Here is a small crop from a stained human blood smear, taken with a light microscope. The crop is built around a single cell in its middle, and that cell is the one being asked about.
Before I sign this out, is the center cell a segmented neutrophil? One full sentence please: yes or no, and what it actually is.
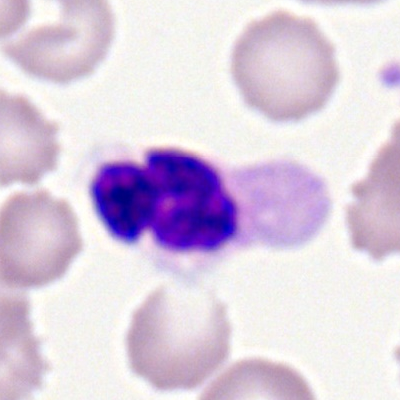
Yes, the crop's central cell is a segmented neutrophil.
